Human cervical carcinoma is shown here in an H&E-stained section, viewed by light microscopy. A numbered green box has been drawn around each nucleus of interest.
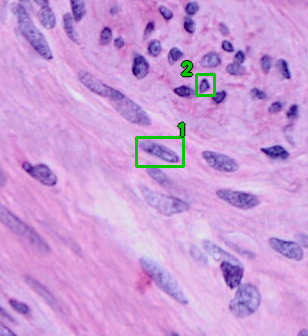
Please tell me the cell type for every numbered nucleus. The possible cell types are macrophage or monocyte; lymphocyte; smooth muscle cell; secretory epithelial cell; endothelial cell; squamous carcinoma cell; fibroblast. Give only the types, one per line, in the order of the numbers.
fibroblast
smooth muscle cell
